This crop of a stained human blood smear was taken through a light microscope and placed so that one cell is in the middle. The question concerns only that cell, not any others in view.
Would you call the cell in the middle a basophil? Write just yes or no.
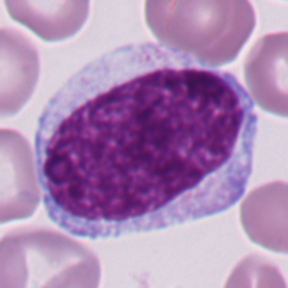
no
